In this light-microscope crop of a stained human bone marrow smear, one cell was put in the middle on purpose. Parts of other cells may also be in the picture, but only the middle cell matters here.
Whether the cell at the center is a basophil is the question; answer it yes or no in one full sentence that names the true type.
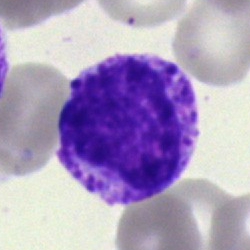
Yes, centred in the crop is a basophil.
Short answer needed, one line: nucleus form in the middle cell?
Between us, the nucleus here is just one compact mass, round, oval or kidney-shaped.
